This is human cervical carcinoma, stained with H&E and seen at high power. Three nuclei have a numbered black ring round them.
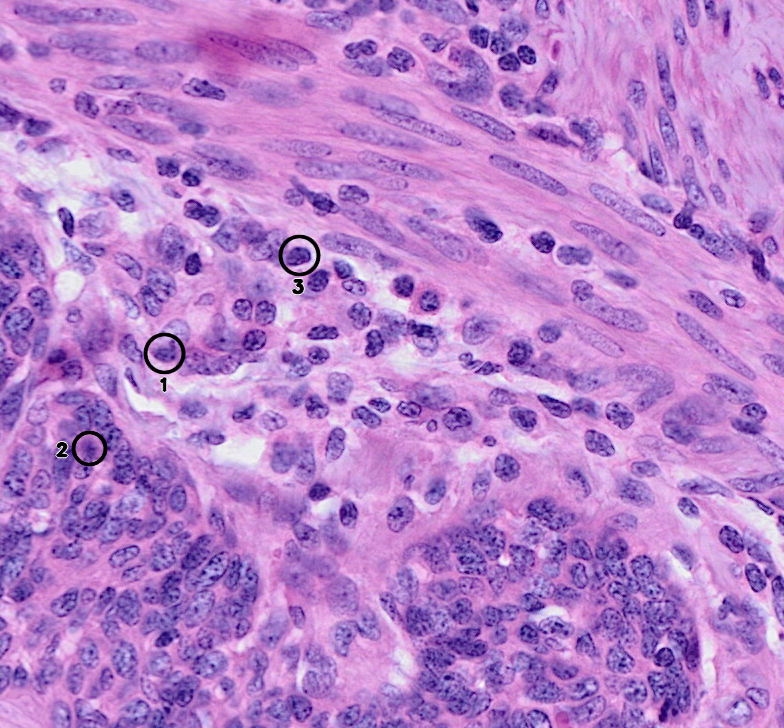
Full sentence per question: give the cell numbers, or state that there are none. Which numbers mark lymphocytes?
As for the cells numbered 1 and 3, they are lymphocytes.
